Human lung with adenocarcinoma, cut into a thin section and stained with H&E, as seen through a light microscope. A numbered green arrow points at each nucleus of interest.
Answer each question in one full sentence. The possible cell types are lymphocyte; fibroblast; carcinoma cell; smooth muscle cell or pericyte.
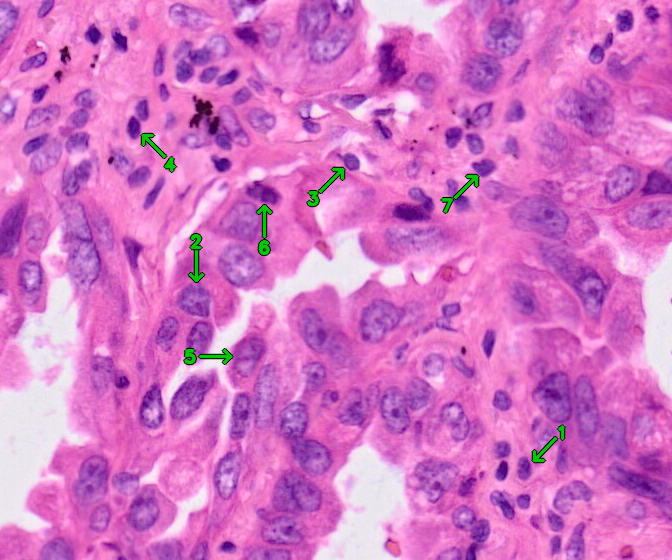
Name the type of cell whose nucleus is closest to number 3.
It is a fibroblast whose nucleus is nearest to number 3.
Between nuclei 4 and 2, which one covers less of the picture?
Number 4 is smaller, since number 2 takes up about 3 times as much area.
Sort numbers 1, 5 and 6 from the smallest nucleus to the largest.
The order from the smallest nucleus to the largest is 1, 6, 5.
